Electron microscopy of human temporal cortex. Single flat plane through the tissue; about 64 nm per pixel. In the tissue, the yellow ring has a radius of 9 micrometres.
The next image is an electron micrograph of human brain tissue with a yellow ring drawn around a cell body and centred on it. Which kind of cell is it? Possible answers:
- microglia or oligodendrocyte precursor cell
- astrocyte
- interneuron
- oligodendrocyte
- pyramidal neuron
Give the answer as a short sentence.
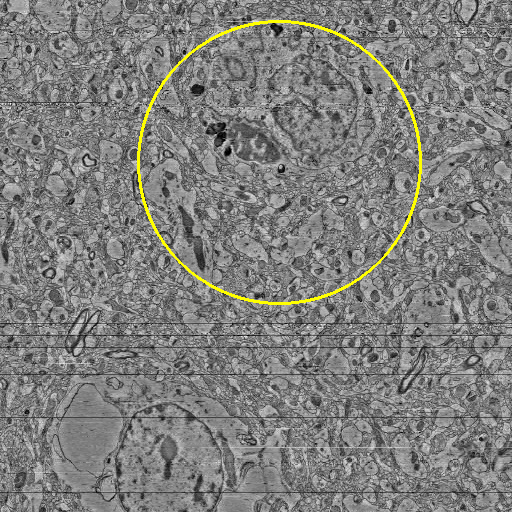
In the ring's centre is a microglial cell or oligodendrocyte precursor cell.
